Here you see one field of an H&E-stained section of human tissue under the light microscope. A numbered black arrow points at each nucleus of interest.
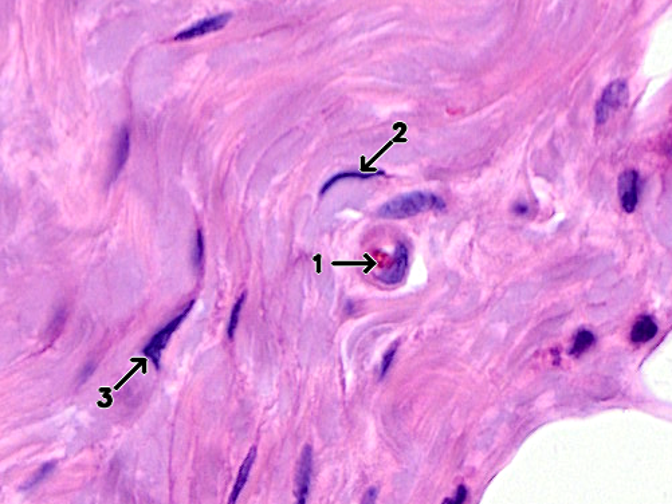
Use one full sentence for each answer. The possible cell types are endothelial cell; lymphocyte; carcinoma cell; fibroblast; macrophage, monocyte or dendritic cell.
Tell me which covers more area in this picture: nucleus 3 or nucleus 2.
Nucleus 3 is the larger one, covering about 1.5 times the area of nucleus 2.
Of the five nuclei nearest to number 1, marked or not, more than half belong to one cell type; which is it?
Fibroblasts account for more than half of the five nuclei nearest to number 1.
